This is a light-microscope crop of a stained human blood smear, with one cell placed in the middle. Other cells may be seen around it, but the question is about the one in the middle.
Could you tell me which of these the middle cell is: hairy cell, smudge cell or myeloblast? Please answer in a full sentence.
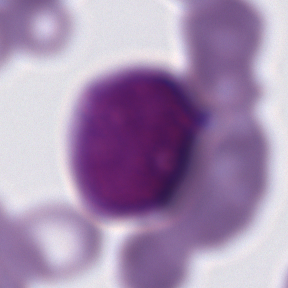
By classification, the middle cell of this crop is a smudge cell.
